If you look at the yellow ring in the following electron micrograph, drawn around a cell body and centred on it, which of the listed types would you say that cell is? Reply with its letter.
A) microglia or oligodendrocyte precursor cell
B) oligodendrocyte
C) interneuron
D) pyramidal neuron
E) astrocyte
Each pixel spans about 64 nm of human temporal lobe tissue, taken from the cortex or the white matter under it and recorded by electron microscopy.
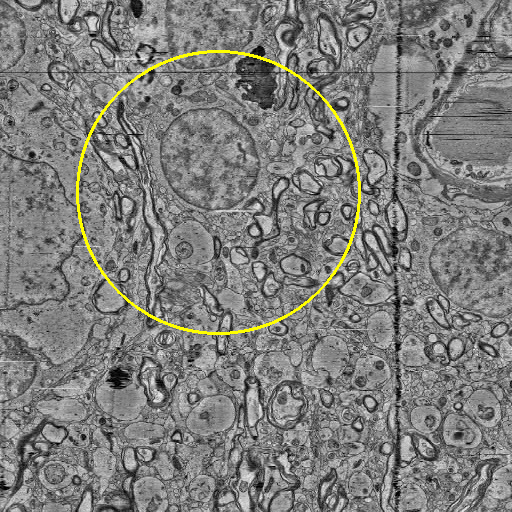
B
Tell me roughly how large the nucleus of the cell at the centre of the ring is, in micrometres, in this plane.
In this plane the nucleus is about 6 micrometres across.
